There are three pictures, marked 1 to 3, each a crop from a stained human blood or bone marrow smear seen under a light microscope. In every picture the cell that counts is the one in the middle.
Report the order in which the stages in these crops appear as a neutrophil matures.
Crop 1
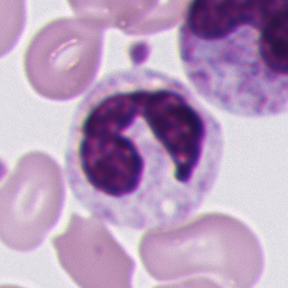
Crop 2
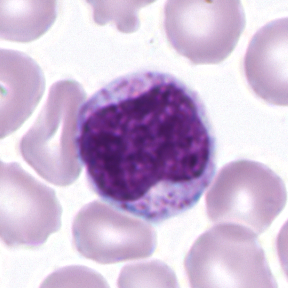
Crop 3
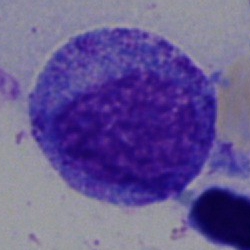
3, 2, 1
